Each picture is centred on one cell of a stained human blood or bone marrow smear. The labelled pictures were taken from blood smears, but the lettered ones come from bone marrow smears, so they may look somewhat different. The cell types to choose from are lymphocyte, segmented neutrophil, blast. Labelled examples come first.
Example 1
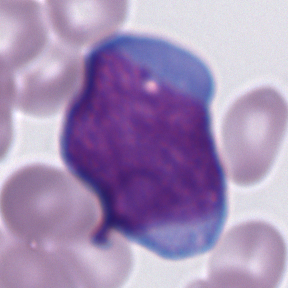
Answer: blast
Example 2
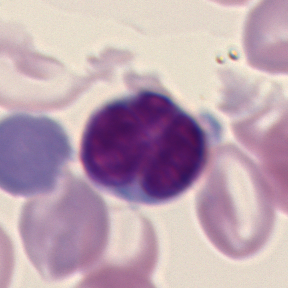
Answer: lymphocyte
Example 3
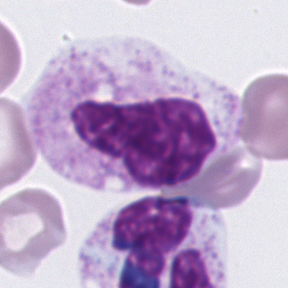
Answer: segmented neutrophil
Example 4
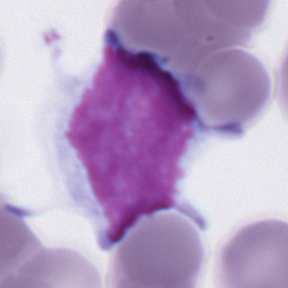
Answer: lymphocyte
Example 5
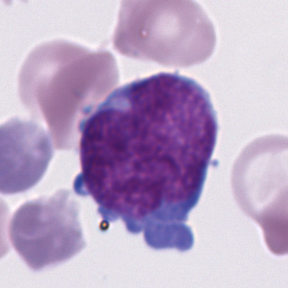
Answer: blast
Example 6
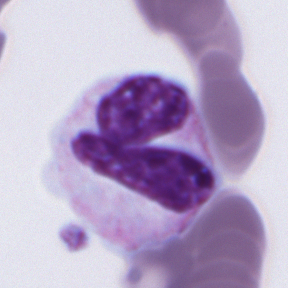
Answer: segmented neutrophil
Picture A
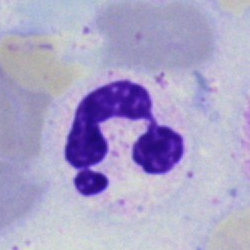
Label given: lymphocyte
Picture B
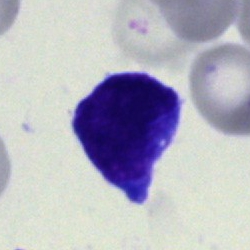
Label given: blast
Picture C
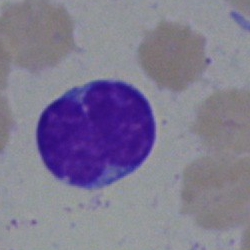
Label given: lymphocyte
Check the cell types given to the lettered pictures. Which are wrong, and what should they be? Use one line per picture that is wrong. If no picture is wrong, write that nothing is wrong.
A is labelled lymphocyte; correct label: segmented neutrophil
